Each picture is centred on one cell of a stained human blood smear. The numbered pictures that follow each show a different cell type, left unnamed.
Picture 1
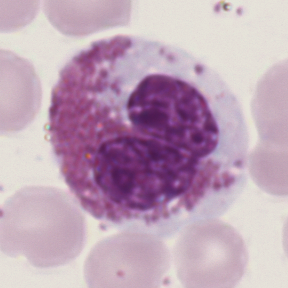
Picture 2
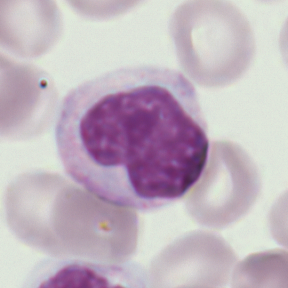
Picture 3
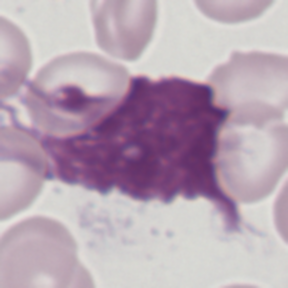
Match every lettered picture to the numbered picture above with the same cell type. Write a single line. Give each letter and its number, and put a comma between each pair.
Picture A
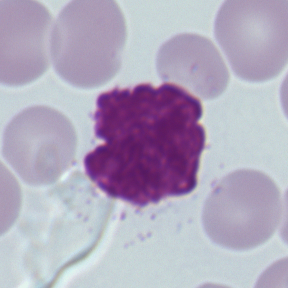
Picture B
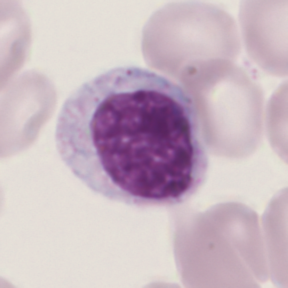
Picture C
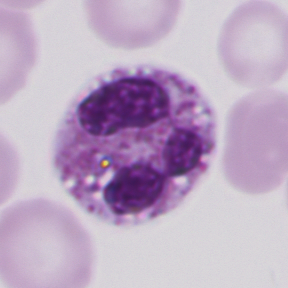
A 3, B 2, C 1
